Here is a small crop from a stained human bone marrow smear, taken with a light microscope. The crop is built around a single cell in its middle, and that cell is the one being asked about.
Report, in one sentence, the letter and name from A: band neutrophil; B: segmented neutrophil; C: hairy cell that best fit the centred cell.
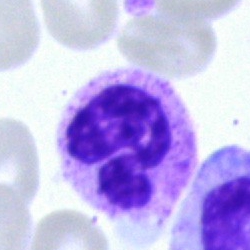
The expected answer is option B, the central cell being a segmented neutrophil.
